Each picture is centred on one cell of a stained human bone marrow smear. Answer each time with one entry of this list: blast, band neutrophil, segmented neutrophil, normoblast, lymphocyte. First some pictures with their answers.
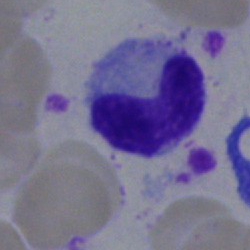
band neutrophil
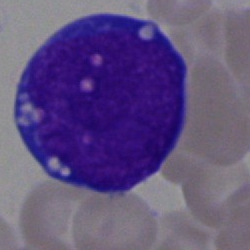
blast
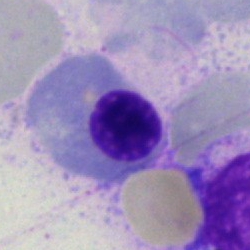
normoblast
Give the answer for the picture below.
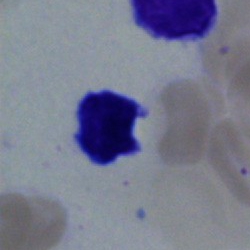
lymphocyte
